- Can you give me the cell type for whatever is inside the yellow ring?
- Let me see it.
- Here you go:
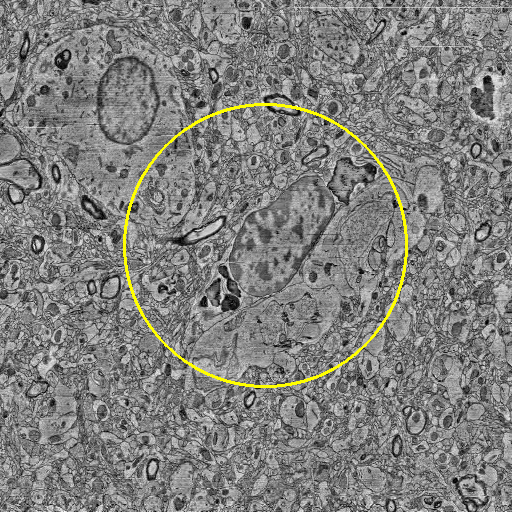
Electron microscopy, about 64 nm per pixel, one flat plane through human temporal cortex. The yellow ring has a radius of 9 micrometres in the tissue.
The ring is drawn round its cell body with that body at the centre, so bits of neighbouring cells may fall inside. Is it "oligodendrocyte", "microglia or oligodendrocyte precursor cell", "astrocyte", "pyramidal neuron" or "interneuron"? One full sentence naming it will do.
The cell body in the middle of the ring in this picture belongs to a microglial cell or oligodendrocyte precursor cell.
